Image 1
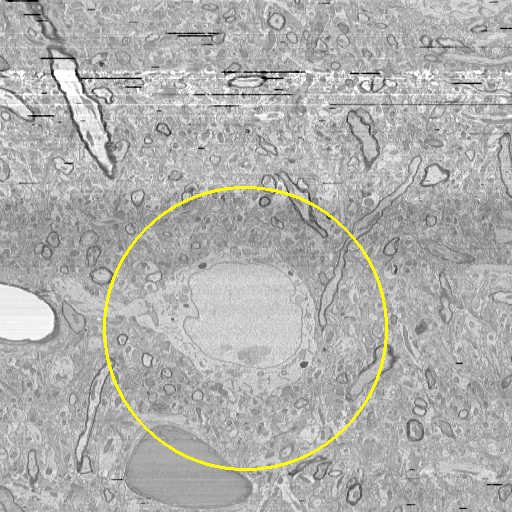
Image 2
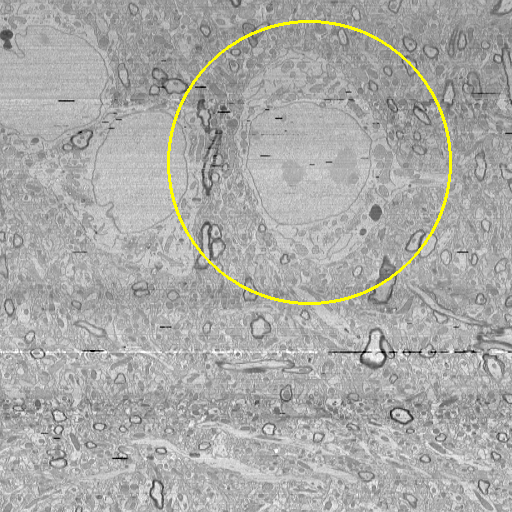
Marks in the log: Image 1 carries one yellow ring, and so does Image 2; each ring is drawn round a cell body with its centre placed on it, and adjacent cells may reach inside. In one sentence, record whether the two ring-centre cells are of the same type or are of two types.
The two cells at the ring centres, one in each image, are of the same type.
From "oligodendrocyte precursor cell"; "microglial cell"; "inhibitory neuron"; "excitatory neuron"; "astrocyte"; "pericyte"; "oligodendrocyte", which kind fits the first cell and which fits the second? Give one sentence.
The cell at the ring centre is an excitatory neuron in both pictures.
